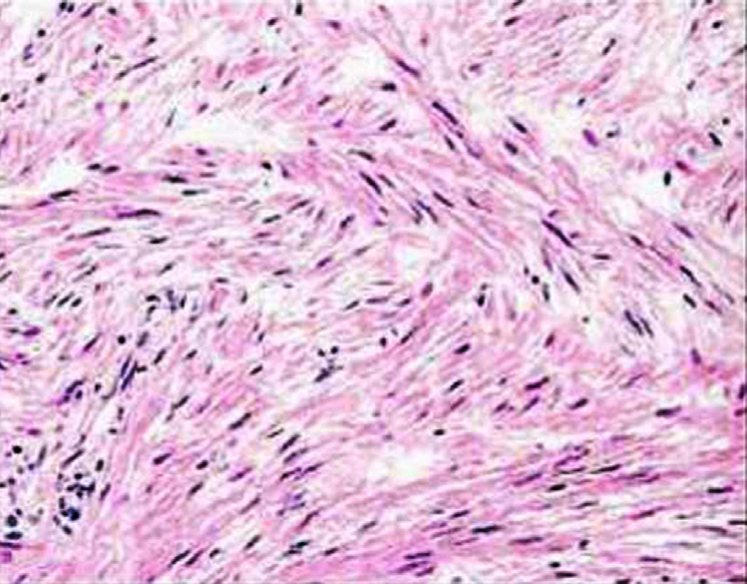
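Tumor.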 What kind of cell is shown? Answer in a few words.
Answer: Spindle-shaped cells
